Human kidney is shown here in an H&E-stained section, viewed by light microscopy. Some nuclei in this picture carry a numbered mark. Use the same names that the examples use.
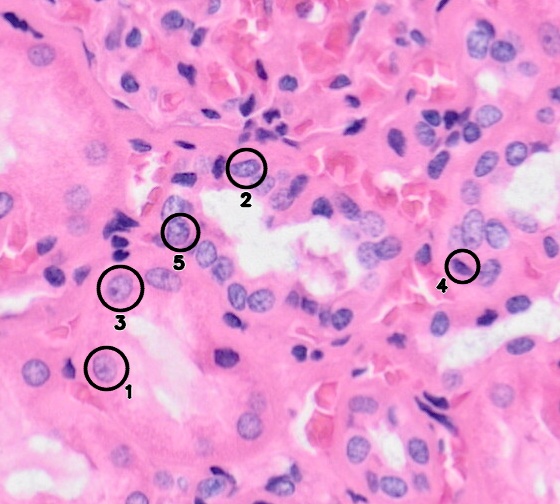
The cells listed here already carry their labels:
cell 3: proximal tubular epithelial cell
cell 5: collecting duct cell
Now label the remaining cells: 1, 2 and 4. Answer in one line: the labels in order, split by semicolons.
proximal tubular epithelial cell; collecting duct cell; collecting duct cell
